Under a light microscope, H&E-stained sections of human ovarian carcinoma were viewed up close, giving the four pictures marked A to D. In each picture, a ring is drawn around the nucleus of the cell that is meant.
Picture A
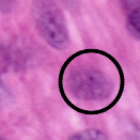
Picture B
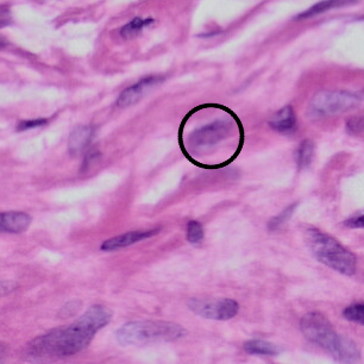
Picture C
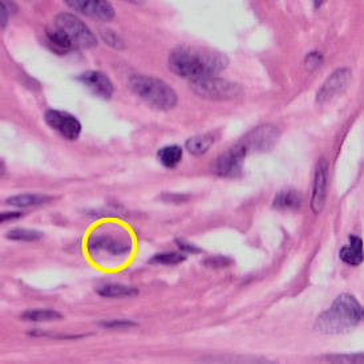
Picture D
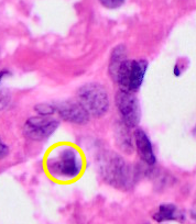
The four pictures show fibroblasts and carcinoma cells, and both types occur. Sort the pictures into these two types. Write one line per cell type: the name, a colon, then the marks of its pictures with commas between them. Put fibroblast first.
fibroblast: A, B, C
carcinoma cell: D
